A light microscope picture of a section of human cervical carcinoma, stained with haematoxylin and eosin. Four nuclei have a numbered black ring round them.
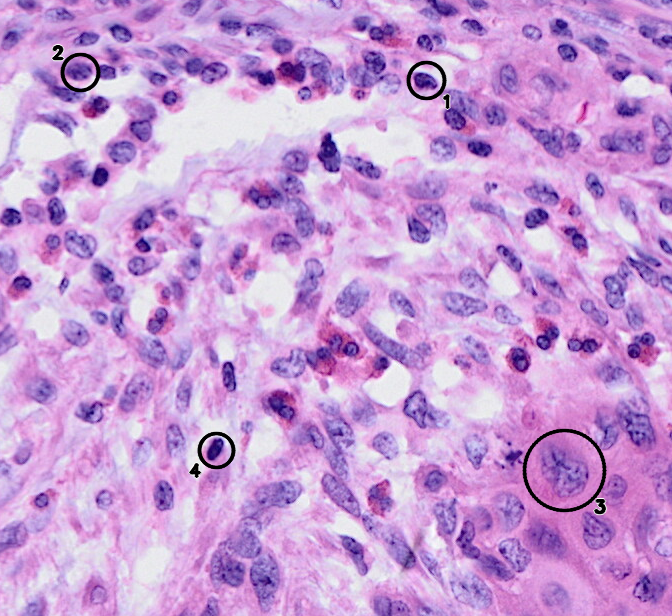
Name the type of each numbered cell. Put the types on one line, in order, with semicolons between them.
lymphocyte; lymphocyte; squamous carcinoma cell; lymphocyte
